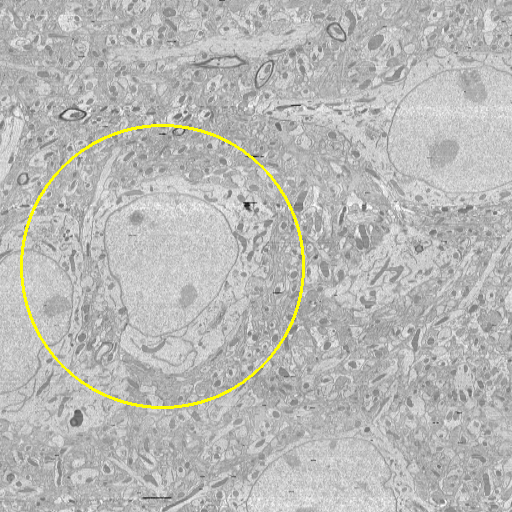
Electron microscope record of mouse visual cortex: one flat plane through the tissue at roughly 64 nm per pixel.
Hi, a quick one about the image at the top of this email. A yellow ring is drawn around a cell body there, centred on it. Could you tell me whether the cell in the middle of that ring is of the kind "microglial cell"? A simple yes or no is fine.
no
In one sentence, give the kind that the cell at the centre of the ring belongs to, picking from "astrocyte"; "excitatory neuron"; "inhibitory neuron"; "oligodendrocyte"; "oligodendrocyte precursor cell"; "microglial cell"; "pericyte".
The ringed cell in this picture is, instead, an excitatory neuron.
